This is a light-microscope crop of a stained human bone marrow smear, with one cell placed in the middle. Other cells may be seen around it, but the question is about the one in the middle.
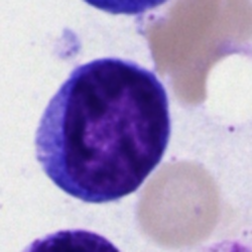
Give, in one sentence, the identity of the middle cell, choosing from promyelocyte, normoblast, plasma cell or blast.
This crop's central cell is a blast.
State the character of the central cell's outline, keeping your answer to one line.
Its surface contour is regular and smooth, without any protrusions.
